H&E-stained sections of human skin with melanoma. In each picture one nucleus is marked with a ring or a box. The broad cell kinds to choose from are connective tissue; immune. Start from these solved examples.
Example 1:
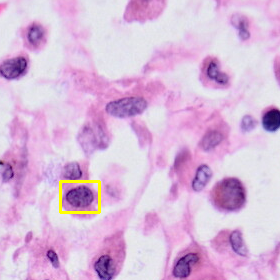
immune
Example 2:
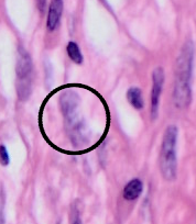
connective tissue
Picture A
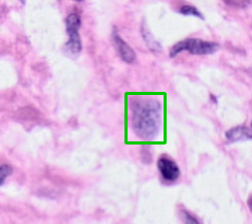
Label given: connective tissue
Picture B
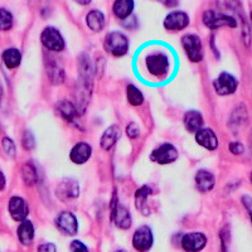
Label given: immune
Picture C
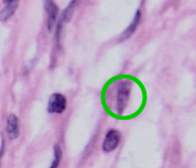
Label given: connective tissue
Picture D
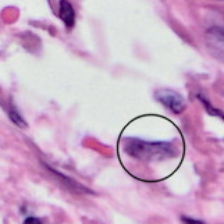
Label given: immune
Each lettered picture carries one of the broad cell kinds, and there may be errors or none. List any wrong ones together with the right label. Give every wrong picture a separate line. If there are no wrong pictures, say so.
D: not immune but connective tissue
